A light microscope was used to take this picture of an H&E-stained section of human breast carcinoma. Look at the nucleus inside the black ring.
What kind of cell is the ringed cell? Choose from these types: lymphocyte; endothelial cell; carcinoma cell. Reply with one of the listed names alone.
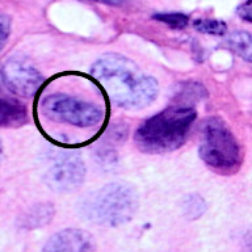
carcinoma cell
